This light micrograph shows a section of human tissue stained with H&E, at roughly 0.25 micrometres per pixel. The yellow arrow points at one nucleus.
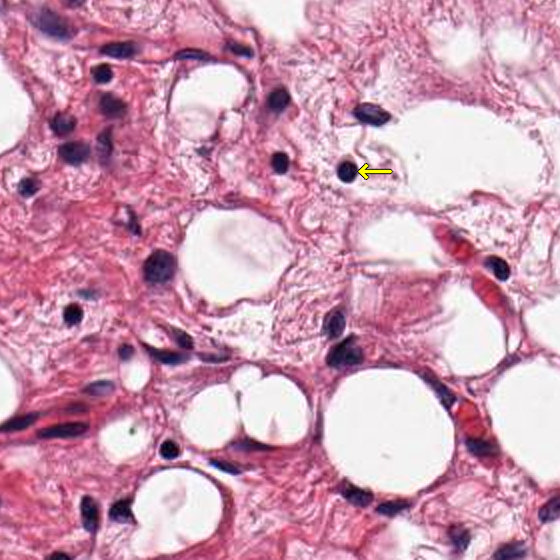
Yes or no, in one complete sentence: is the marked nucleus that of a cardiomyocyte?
No, the cell that carries the marked nucleus is a supporting cell, not a cardiomyocyte.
